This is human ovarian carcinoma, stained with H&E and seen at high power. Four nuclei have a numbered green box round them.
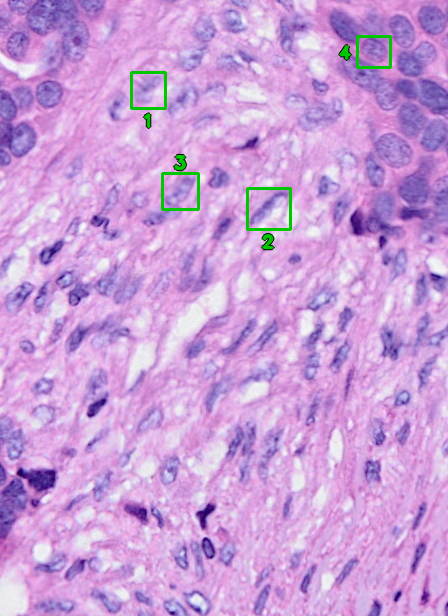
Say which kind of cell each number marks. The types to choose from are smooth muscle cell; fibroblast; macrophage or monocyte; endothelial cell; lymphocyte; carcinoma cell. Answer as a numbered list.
1. fibroblast
2. fibroblast
3. fibroblast
4. carcinoma cell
